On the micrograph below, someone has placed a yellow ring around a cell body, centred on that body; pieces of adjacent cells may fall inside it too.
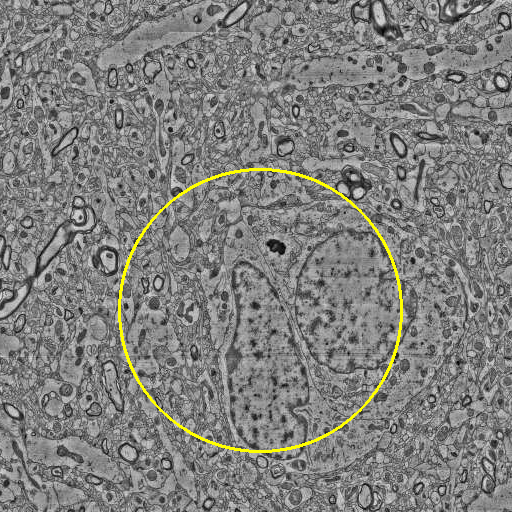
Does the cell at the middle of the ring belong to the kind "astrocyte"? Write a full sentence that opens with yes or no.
No, the micrograph shows another kind of cell at the ring's centre.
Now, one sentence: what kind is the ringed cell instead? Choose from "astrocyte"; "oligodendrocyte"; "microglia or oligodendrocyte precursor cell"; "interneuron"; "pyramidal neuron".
The ring holds a microglial cell or oligodendrocyte precursor cell at its centre.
